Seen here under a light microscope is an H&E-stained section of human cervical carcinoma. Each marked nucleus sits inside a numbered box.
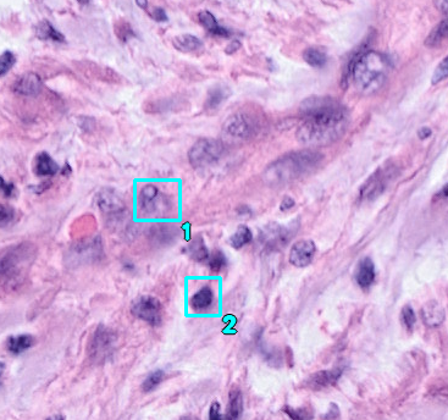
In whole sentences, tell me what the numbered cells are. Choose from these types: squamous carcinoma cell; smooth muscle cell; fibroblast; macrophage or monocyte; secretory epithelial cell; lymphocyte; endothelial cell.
Cell 1 is an endothelial cell and cell 2 is a lymphocyte.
